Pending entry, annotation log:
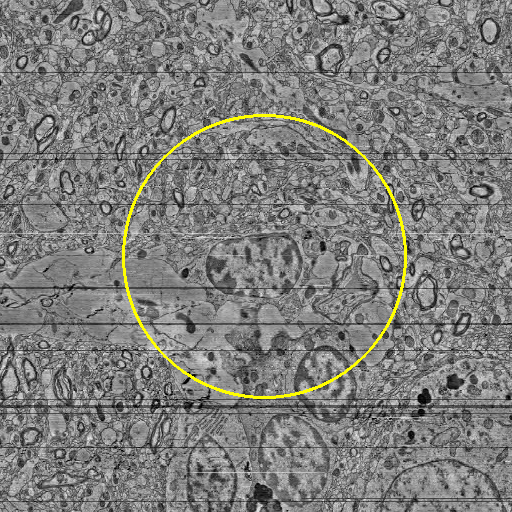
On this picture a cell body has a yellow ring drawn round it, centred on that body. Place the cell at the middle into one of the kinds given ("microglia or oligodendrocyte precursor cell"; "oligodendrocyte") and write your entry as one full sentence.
The cell body at the middle of the yellow ring belongs to a microglial cell or oligodendrocyte precursor cell.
